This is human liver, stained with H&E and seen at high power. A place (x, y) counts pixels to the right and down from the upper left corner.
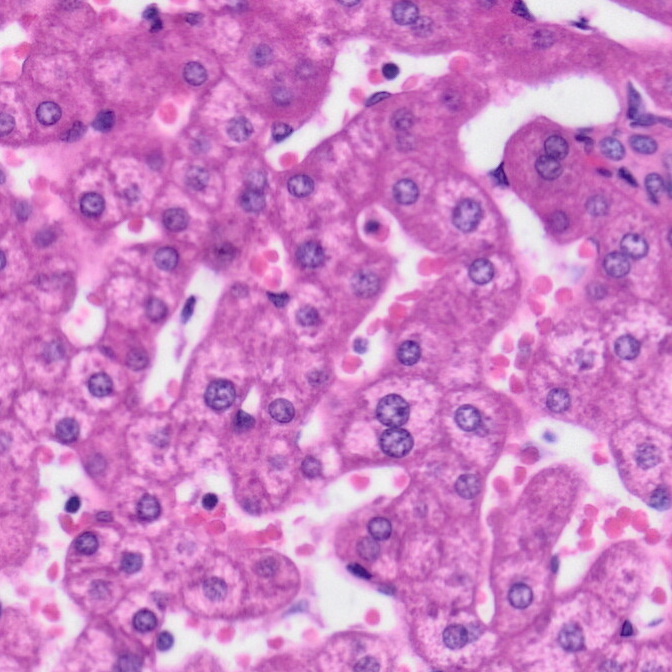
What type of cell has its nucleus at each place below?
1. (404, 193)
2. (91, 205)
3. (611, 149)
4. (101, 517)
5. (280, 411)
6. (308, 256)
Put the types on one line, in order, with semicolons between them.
hepatocyte; hepatocyte; cholangiocyte; Kupffer cell; hepatocyte; hepatocyte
